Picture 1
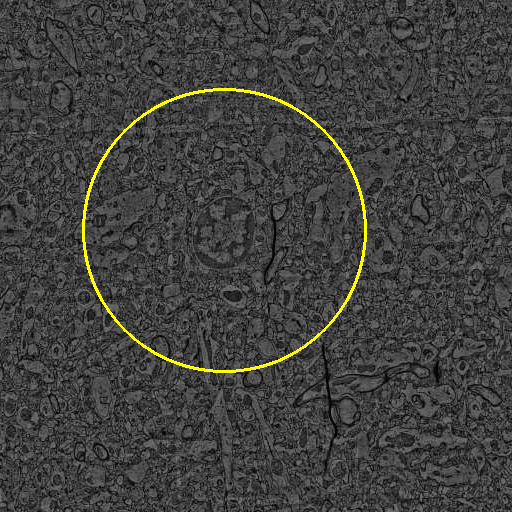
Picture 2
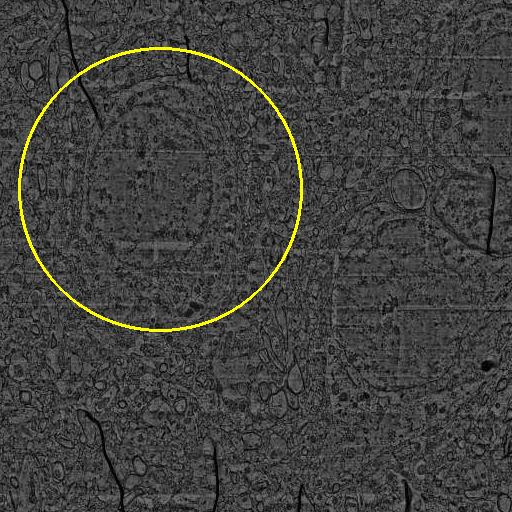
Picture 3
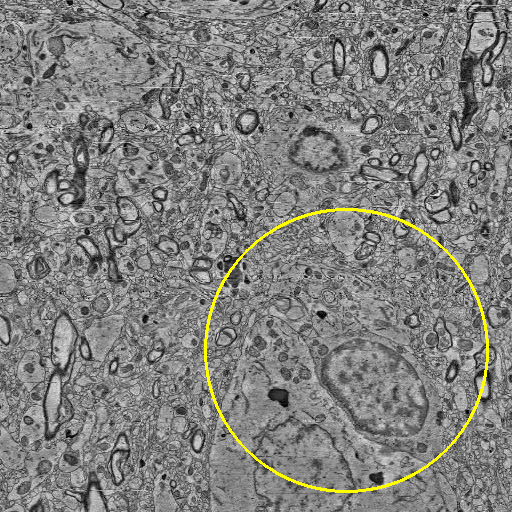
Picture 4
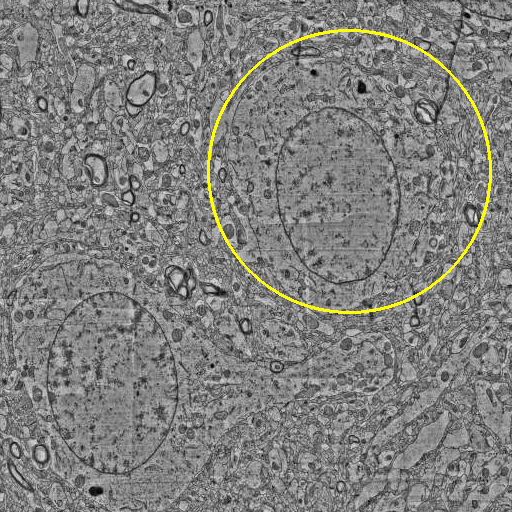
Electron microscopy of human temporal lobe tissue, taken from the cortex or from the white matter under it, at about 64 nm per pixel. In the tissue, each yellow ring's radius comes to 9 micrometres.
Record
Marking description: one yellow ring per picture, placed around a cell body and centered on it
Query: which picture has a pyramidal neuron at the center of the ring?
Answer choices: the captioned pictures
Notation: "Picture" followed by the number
Picture 4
